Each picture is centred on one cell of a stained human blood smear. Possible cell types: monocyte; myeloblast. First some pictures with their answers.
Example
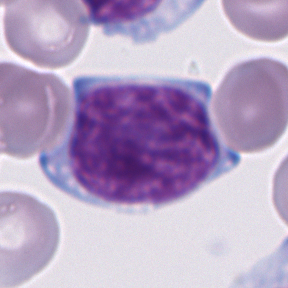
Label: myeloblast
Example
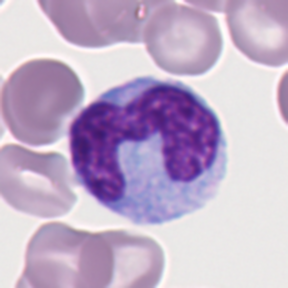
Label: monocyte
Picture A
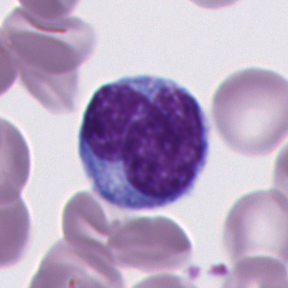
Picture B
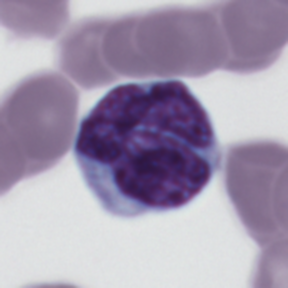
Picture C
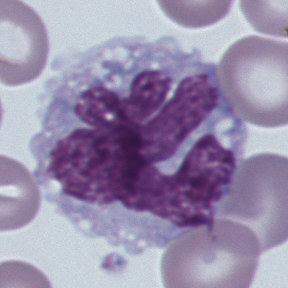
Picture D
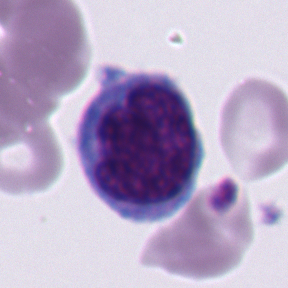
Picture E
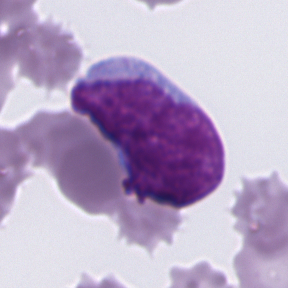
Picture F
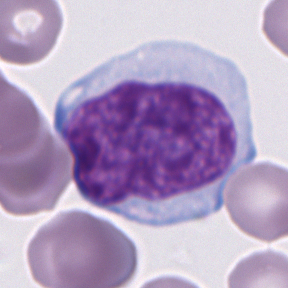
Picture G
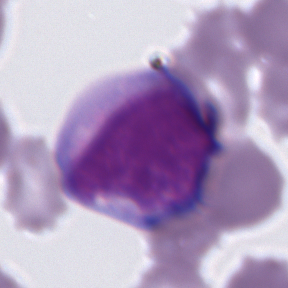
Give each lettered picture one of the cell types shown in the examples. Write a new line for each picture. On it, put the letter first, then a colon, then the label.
A: monocyte
B: monocyte
C: monocyte
D: monocyte
E: myeloblast
F: myeloblast
G: myeloblast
